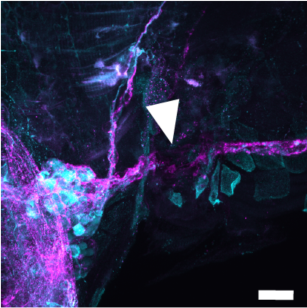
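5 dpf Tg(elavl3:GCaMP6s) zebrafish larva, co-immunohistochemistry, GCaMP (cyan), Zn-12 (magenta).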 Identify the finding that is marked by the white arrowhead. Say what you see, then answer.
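Cut nerve. A fibre bundle running to the right has a gap near the arrowhead.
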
